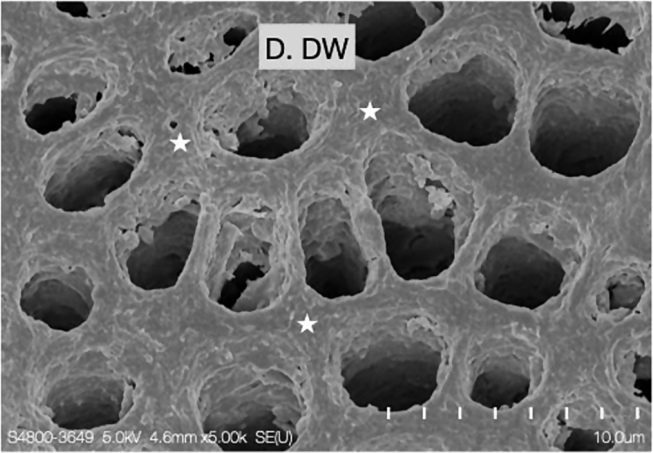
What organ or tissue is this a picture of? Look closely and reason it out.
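Dentin. Surface perforated by many round tubule openings a few micrometres across.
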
